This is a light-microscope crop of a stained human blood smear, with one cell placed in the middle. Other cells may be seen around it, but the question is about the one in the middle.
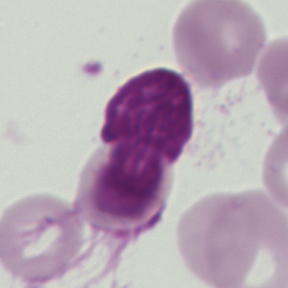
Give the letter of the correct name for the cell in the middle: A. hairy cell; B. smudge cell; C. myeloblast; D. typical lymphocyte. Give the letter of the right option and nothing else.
B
